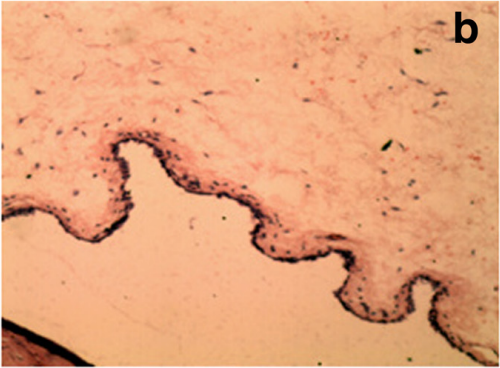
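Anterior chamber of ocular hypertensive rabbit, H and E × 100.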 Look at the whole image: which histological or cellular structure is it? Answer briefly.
Ciliary process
